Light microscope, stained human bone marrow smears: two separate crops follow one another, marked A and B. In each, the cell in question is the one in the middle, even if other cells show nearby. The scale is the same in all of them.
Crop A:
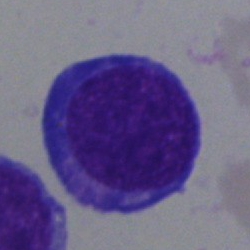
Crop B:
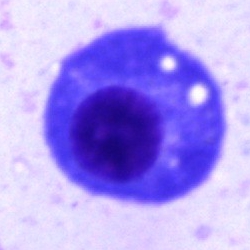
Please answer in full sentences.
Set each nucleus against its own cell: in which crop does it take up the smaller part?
In crop B the nucleus takes up the smaller part of its cell.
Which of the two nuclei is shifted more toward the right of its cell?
It is the nucleus in crop A that lies further toward the right of its cell.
